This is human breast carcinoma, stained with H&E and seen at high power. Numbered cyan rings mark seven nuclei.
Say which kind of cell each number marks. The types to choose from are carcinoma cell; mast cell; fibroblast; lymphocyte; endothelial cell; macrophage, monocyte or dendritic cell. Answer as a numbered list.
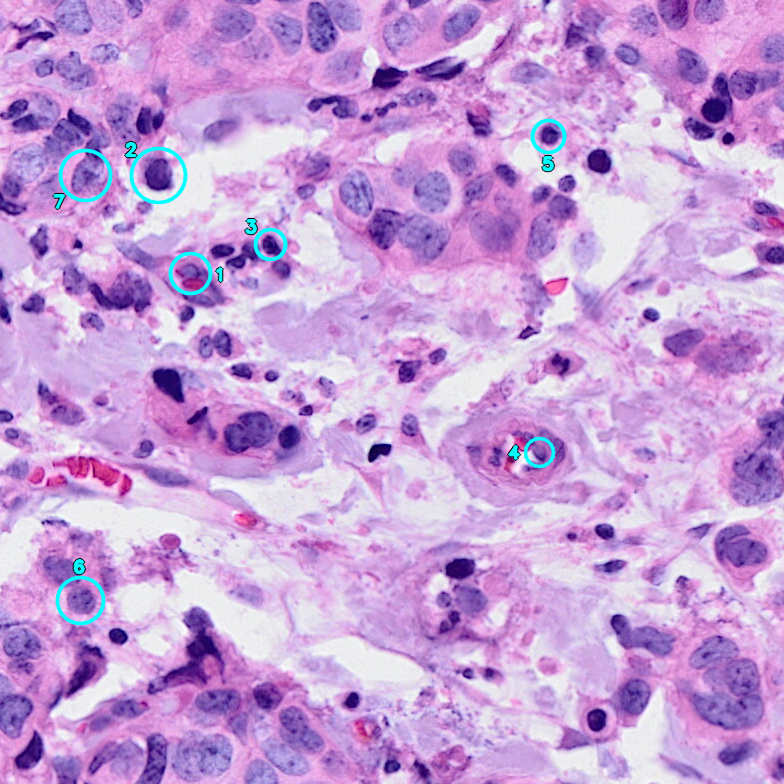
1. endothelial cell
2. carcinoma cell
3. lymphocyte
4. endothelial cell
5. lymphocyte
6. carcinoma cell
7. carcinoma cell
